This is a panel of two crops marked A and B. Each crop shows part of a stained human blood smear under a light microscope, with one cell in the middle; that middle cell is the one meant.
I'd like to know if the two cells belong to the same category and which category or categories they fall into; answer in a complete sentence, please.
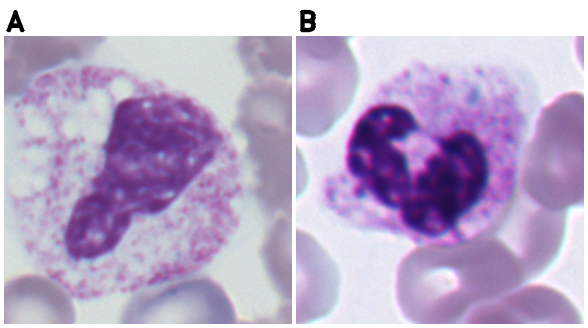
Yes, neutrophils are depicted in both crops.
